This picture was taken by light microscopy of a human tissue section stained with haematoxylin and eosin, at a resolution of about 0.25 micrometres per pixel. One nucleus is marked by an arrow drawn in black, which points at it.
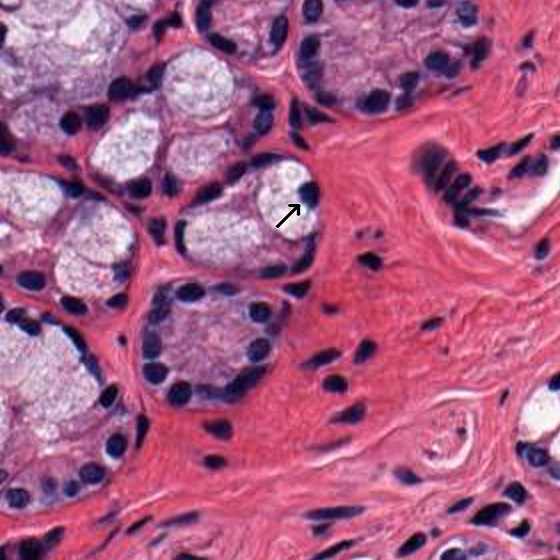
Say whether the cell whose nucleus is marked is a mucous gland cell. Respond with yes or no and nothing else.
yes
